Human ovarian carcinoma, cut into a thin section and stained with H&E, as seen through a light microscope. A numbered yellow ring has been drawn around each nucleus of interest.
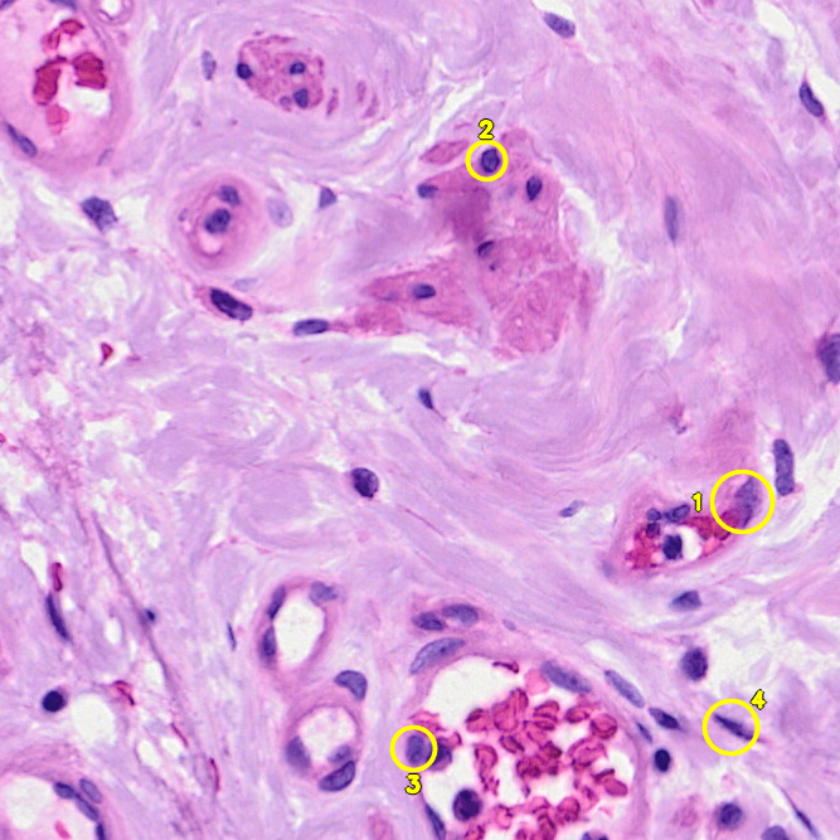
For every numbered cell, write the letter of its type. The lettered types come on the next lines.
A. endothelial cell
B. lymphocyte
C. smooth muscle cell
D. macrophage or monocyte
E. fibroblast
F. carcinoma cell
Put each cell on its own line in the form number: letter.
1: A
2: C
3: A
4: E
